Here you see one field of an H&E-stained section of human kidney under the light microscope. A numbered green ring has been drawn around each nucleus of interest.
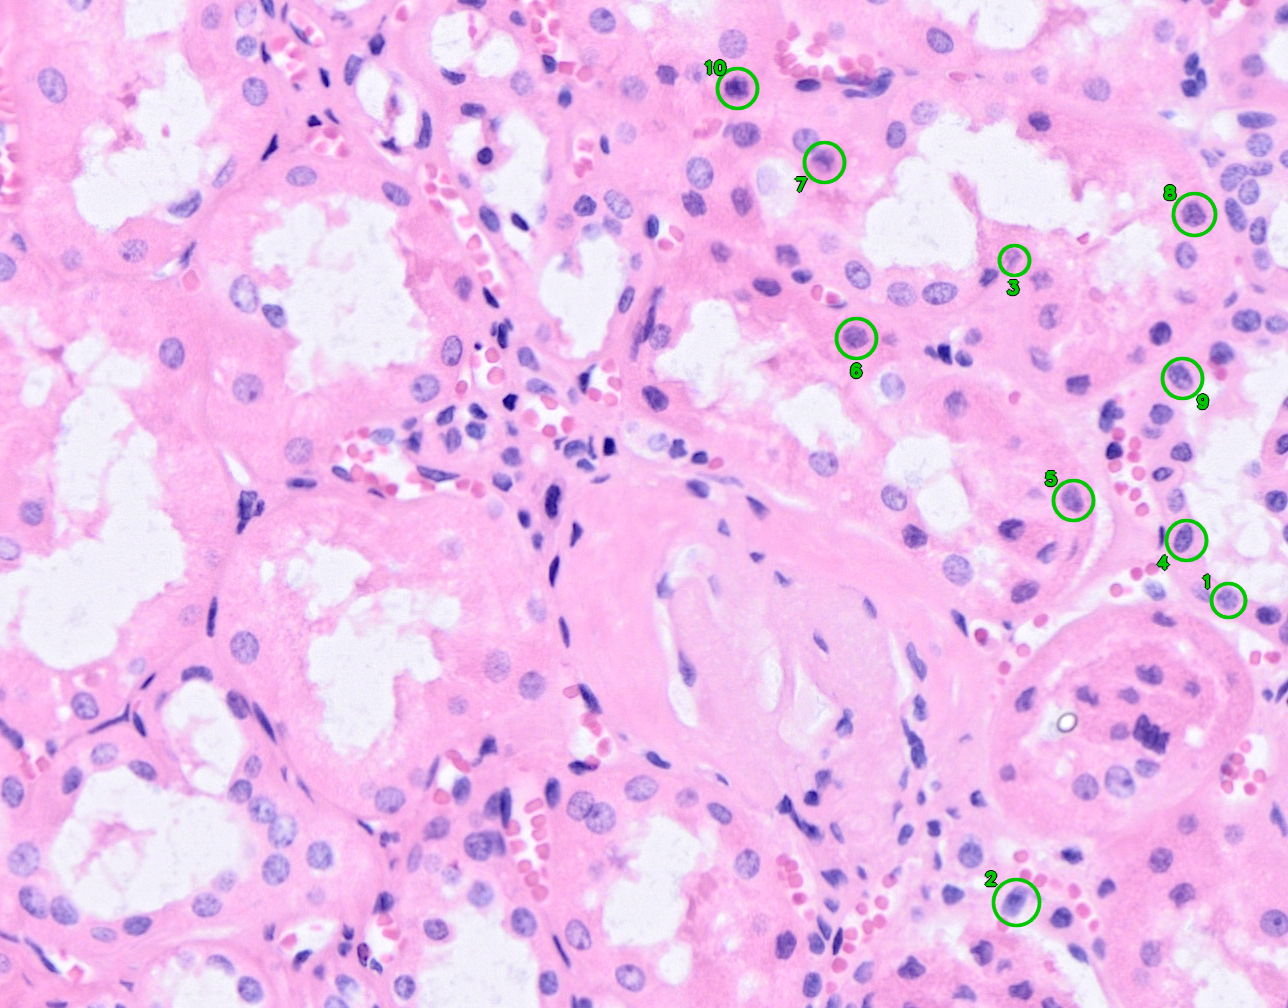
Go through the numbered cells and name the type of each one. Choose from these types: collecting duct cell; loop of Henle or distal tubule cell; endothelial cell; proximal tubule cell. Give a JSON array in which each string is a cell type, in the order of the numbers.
["collecting duct cell", "endothelial cell", "proximal tubule cell", "collecting duct cell", "proximal tubule cell", "proximal tubule cell", "proximal tubule cell", "proximal tubule cell", "collecting duct cell", "proximal tubule cell"]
